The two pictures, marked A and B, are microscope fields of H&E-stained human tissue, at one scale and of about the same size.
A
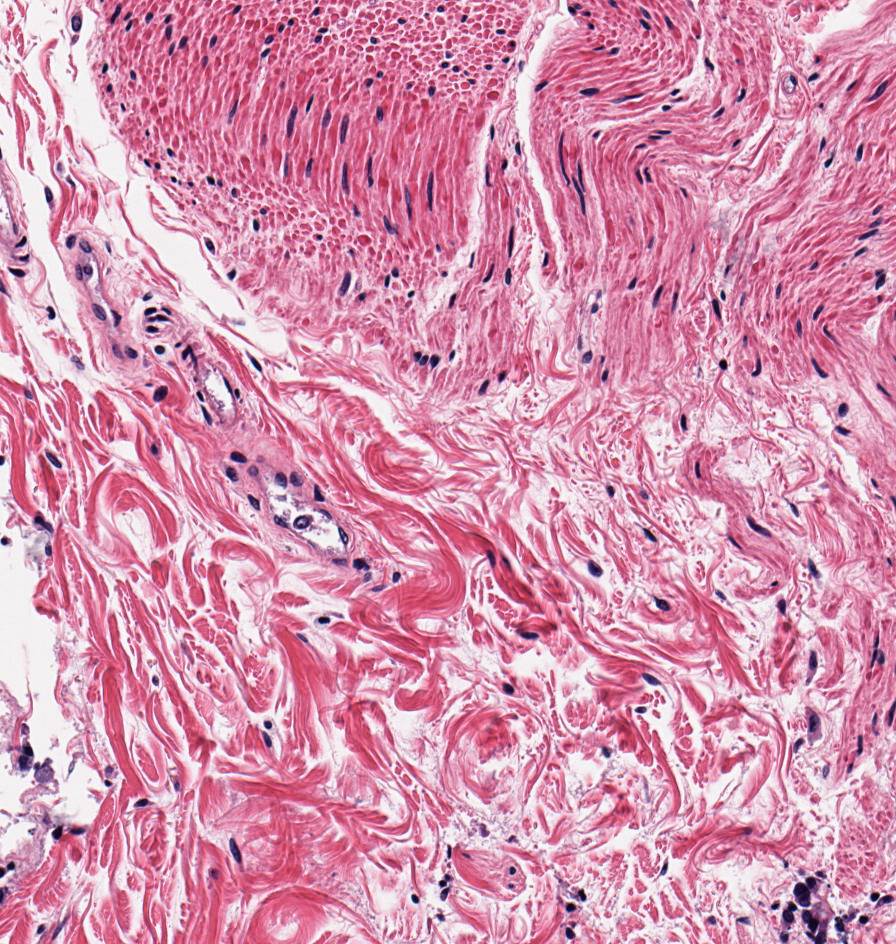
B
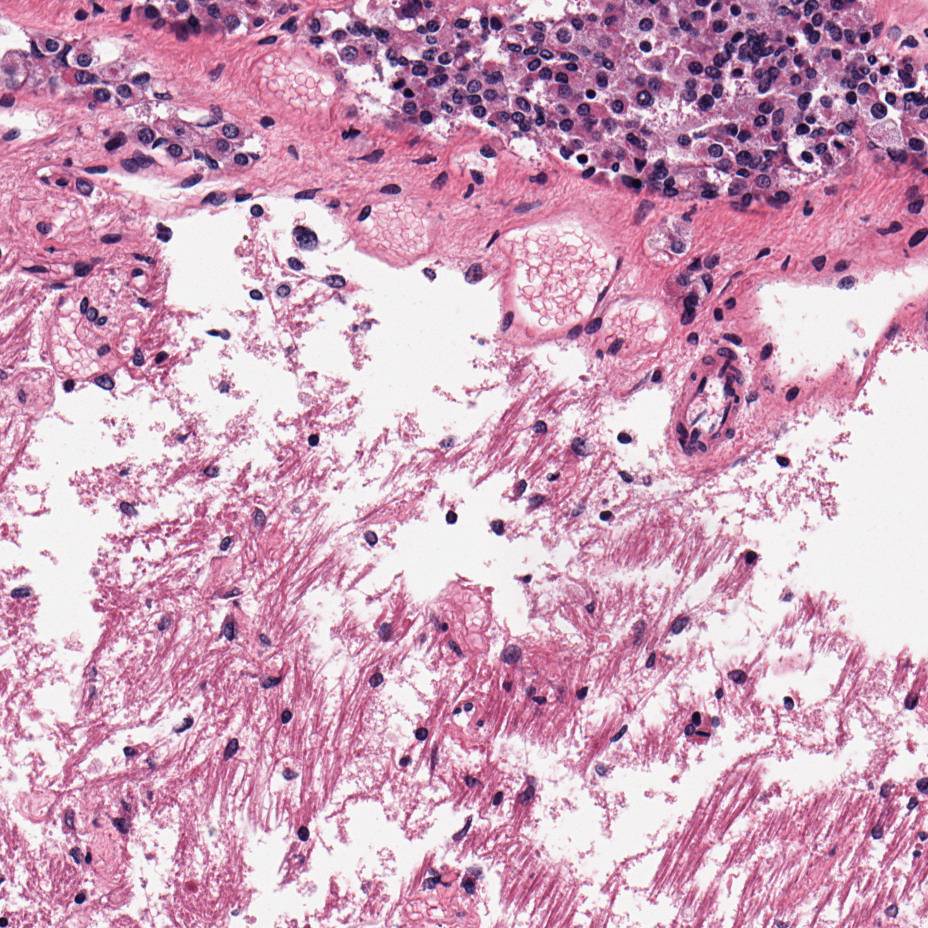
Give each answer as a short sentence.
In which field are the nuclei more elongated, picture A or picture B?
The nuclei are more elongated in picture A.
